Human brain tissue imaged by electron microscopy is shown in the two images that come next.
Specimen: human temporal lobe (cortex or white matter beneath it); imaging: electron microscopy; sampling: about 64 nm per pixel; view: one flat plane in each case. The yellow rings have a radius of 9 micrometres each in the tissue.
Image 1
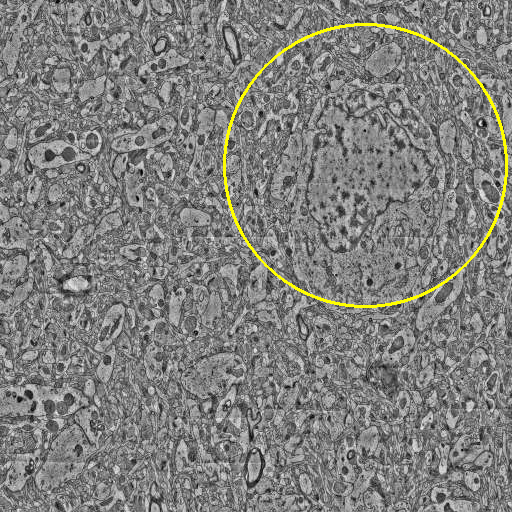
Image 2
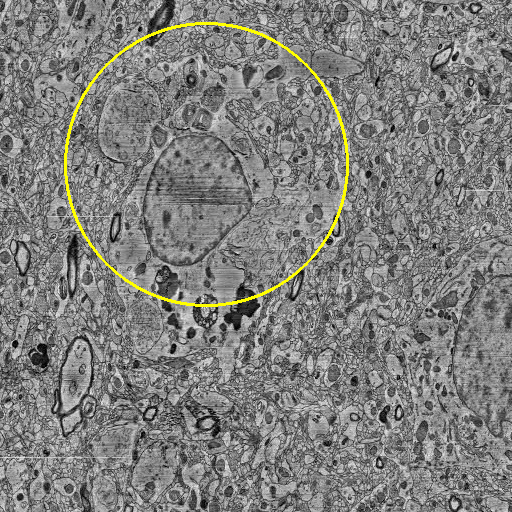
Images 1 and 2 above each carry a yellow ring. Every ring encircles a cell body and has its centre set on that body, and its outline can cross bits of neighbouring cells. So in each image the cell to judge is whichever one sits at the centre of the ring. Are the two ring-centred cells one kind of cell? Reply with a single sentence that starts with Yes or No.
No, in Image 1 and Image 2 the cells at the centres of their rings fall into two types.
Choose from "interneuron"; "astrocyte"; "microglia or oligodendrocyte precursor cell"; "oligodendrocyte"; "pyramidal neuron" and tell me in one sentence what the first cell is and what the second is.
What the first ring is centred on is an interneuron; what the second ring is centred on is an astrocyte.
